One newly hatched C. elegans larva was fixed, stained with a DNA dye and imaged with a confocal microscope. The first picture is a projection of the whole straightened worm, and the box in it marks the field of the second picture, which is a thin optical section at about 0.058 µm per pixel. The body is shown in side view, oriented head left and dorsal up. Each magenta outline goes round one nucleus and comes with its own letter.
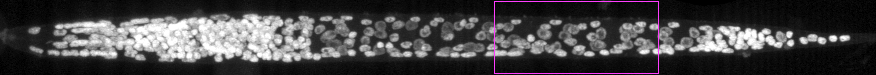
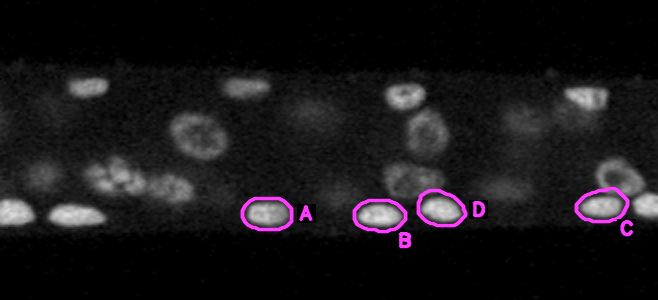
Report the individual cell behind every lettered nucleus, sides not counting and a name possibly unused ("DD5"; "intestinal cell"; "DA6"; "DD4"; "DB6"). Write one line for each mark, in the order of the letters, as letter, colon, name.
A: DD4
B: DB6
C: DD5
D: DA6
